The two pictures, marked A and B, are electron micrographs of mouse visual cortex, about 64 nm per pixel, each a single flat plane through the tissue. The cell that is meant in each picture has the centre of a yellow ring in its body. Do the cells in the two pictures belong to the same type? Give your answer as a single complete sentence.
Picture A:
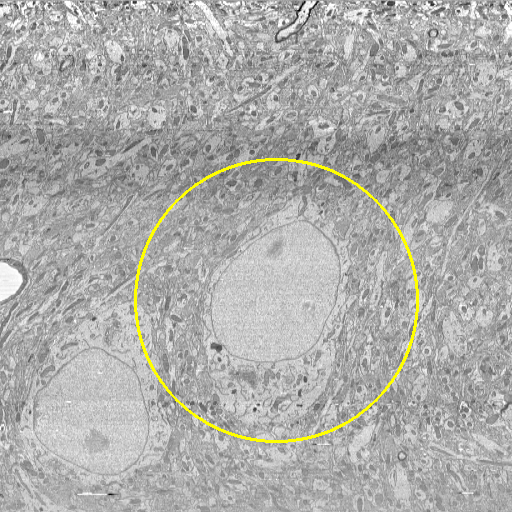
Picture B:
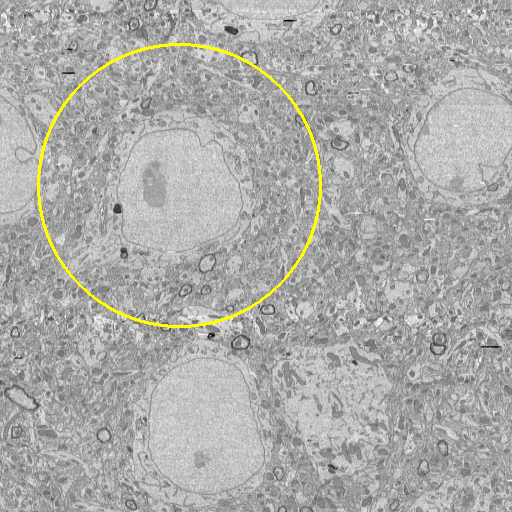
Yes, both are excitatory neurons.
